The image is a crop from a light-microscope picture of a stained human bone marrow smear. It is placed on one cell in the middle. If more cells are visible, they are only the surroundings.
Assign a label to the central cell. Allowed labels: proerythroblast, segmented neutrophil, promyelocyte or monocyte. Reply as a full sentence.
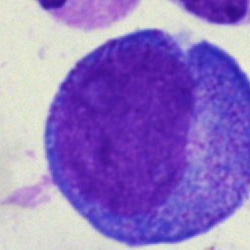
As for the central cell, it is a promyelocyte.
